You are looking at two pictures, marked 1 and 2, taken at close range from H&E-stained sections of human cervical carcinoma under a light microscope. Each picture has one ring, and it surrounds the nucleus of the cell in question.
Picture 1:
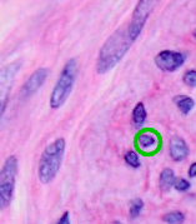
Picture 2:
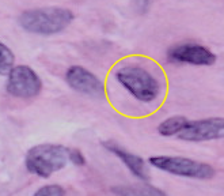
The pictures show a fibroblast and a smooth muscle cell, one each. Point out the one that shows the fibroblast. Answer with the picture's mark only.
2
